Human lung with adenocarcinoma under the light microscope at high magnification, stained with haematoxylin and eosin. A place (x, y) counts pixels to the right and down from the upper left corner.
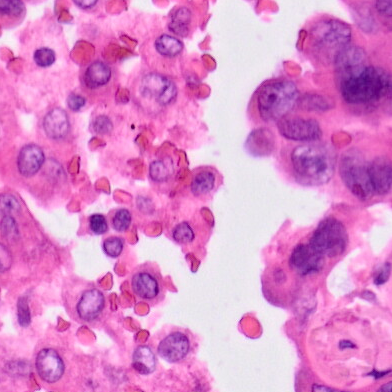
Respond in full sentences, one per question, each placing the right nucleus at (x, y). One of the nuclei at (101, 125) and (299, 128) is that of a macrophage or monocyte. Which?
Lying within a macrophage or monocyte is the nucleus at (101, 125).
